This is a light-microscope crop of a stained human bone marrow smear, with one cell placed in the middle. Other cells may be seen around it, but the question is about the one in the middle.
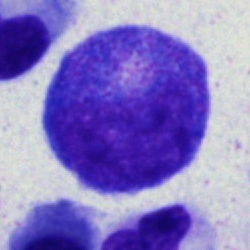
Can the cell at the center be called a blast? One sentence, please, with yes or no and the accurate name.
No, the cell placed in the centre is a promyelocyte and is not a blast.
